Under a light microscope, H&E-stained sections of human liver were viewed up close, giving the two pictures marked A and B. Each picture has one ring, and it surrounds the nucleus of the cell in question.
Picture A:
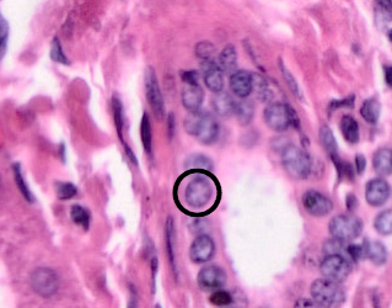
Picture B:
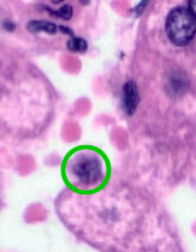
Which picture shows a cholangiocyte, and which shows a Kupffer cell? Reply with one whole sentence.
The cell in picture A is a cholangiocyte, and the one in picture B is a Kupffer cell.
